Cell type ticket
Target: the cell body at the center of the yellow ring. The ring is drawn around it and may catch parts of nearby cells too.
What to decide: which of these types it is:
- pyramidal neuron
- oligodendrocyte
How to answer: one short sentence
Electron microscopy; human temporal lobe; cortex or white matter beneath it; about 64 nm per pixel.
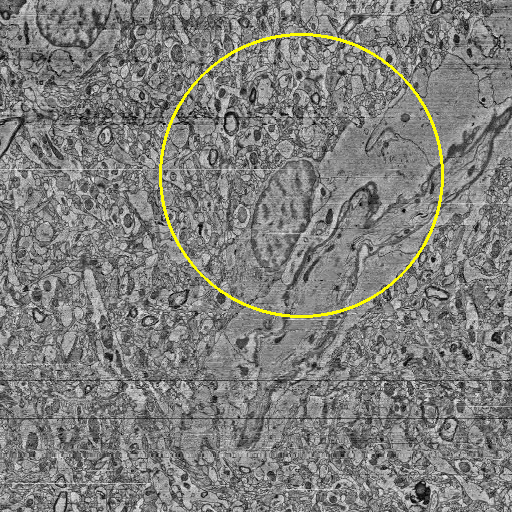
The cell at the center of the ring is an oligodendrocyte.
